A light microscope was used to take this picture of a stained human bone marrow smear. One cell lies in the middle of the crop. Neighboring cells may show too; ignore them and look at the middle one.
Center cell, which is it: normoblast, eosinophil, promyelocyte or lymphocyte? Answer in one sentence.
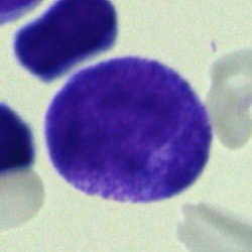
The cell shown in the center of this light-microscope crop is a promyelocyte.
